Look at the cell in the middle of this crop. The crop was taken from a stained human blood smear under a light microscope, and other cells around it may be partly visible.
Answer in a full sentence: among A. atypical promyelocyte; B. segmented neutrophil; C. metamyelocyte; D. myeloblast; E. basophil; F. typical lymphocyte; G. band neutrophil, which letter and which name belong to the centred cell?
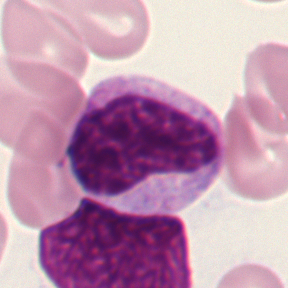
Since the middle cell is a metamyelocyte, option C is the right one.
